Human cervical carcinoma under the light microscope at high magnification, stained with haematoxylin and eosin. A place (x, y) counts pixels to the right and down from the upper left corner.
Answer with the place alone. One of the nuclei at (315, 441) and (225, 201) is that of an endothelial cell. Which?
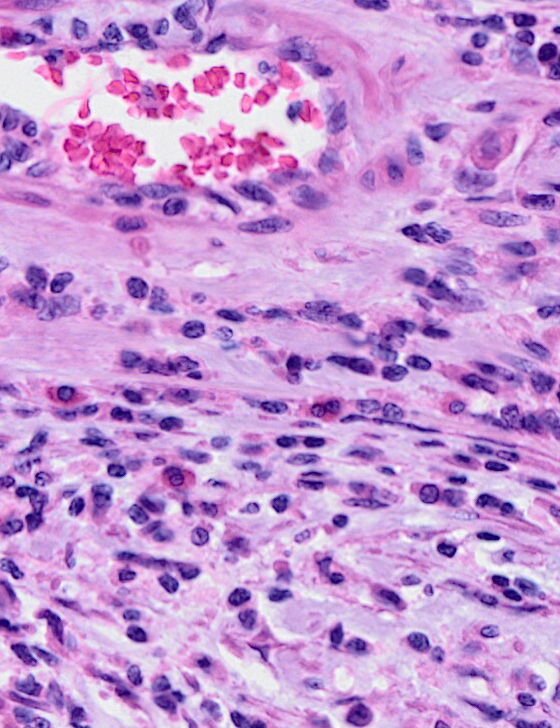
(225, 201)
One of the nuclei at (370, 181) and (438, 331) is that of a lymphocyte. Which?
(438, 331)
